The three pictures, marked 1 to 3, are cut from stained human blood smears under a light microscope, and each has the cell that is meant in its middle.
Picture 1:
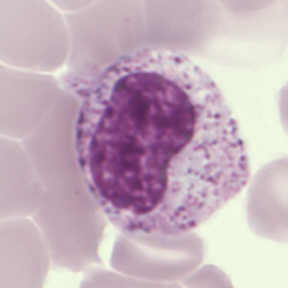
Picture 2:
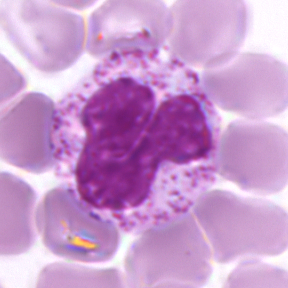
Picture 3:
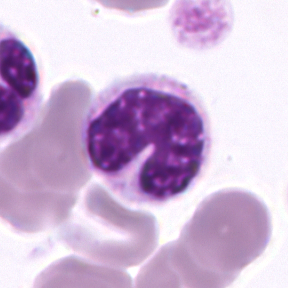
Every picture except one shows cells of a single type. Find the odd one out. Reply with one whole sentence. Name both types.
All pictures except 1 show band neutrophils; picture 1 shows a metamyelocyte.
